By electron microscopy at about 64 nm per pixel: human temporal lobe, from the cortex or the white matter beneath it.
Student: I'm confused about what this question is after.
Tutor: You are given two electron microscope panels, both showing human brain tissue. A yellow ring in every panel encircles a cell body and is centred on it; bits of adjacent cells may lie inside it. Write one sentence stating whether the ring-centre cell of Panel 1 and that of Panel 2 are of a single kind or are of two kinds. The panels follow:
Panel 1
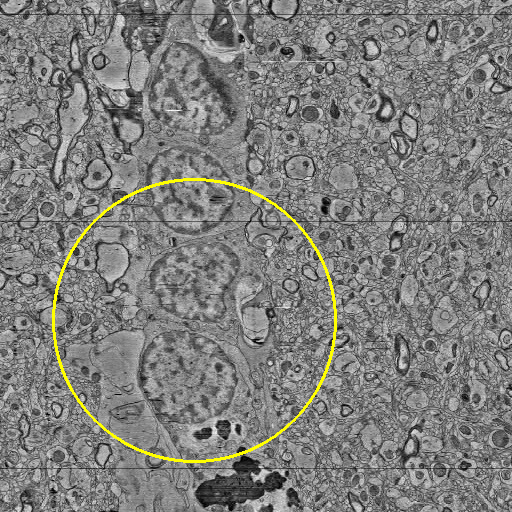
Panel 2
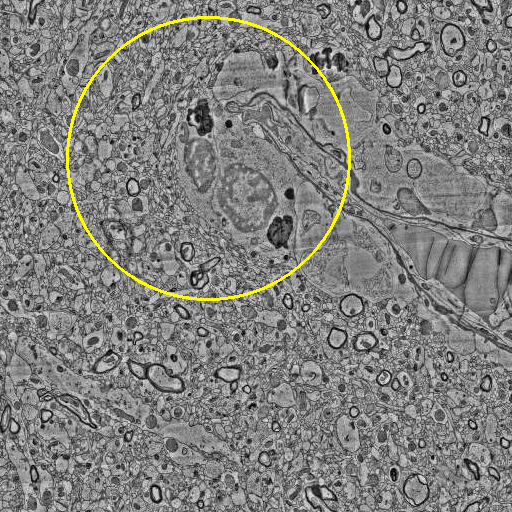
Here, the Panel 1 ring-centre cell and the Panel 2 ring-centre cell are of a single kind.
